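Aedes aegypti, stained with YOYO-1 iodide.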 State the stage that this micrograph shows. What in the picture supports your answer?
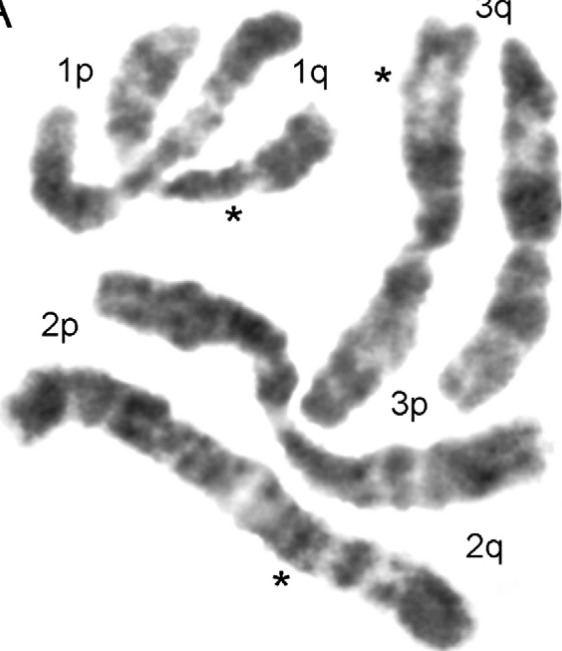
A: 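Early metaphase chromosomes. Several separate, elongated, rod-shaped condensed chromosomes lie spread apart. Each chromosome shows a banding pattern of darker and lighter segments along its length. No nuclear outline surrounds the chromosomes.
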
